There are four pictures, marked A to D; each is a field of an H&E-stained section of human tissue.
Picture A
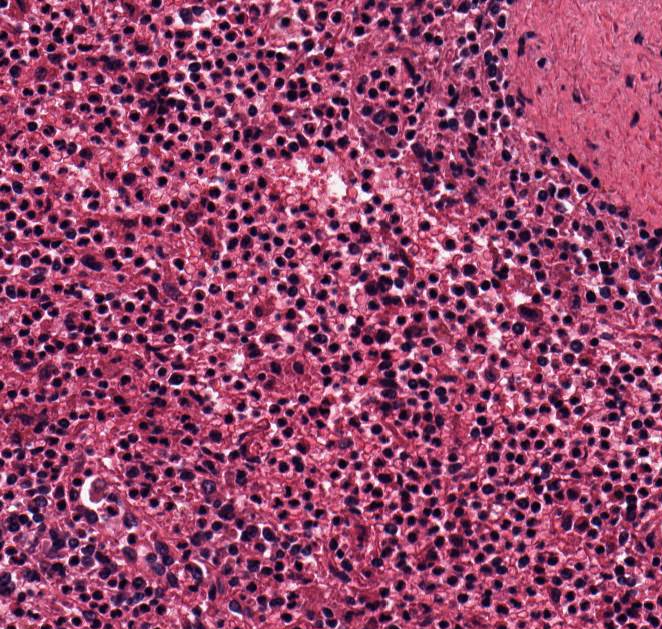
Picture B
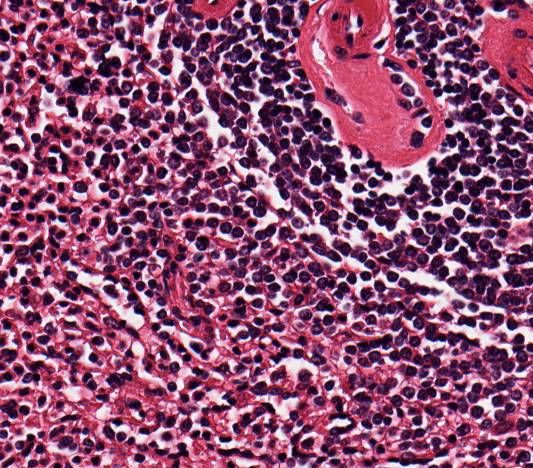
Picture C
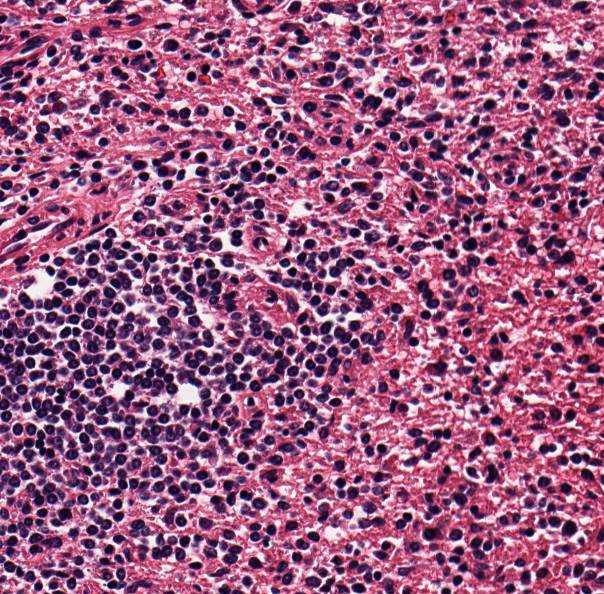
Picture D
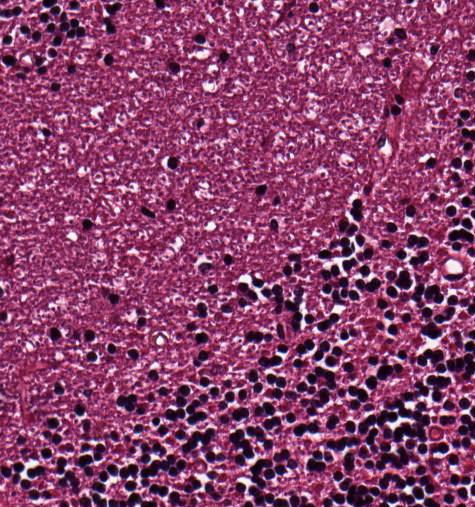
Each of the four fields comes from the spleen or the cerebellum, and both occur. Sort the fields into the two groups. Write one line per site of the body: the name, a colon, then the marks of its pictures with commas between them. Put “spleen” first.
spleen: A, B, C
cerebellum: D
